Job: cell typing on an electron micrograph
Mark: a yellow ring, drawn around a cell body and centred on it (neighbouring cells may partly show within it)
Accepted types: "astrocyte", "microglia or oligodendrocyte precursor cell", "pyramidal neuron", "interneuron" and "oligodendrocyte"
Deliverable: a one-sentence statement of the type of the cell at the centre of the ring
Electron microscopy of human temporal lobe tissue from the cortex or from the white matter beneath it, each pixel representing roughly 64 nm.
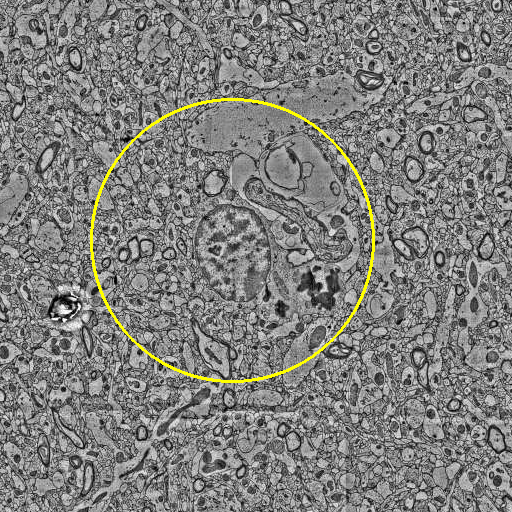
The centred cell body is that of an oligodendrocyte.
